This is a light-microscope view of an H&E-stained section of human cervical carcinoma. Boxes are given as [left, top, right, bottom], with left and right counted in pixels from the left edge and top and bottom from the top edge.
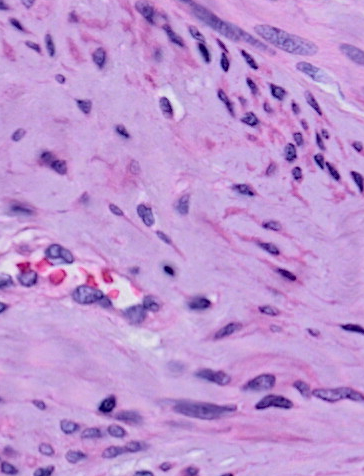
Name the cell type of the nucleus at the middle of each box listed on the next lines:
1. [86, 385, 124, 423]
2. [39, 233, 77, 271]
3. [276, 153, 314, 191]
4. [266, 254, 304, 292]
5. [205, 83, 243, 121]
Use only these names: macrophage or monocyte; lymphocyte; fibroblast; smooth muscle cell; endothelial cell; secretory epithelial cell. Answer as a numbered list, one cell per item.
1. lymphocyte
2. endothelial cell
3. smooth muscle cell
4. smooth muscle cell
5. smooth muscle cell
